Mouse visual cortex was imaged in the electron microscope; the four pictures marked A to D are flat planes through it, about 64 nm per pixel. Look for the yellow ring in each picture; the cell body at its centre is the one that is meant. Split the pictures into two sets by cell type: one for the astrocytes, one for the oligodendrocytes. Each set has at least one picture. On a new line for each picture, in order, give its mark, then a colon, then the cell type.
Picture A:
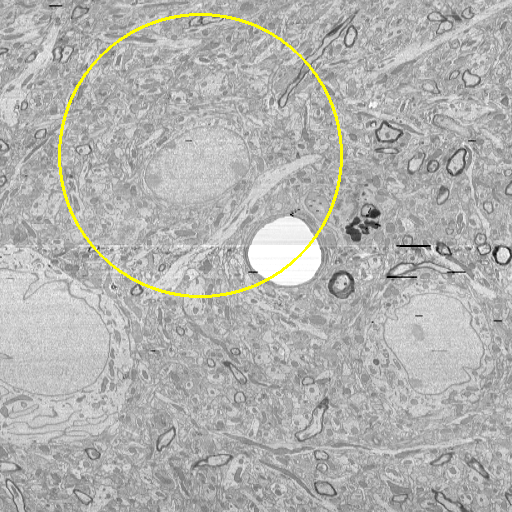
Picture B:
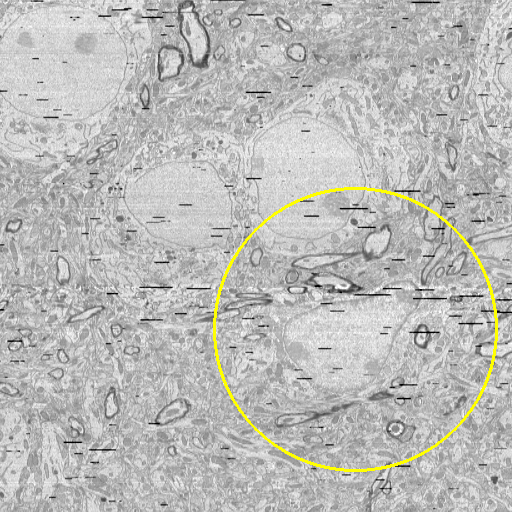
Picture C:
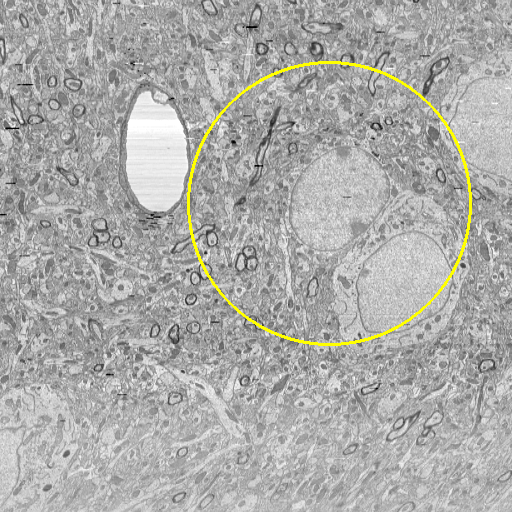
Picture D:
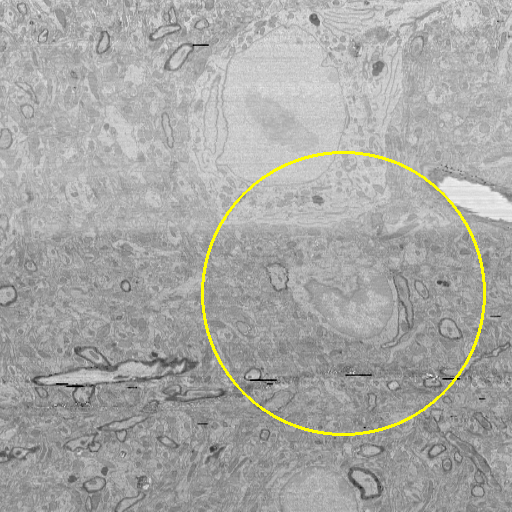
A: astrocyte
B: astrocyte
C: astrocyte
D: oligodendrocyte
